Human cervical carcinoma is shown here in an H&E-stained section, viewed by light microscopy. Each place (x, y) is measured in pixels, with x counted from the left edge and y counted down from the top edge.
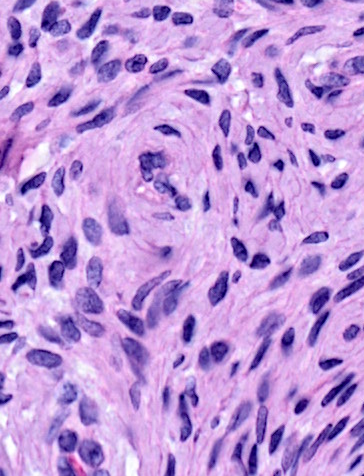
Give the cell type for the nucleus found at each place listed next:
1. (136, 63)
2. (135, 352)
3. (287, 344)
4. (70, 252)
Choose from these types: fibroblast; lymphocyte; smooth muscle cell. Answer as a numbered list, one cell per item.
1. lymphocyte
2. fibroblast
3. fibroblast
4. fibroblast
